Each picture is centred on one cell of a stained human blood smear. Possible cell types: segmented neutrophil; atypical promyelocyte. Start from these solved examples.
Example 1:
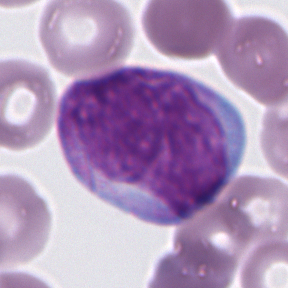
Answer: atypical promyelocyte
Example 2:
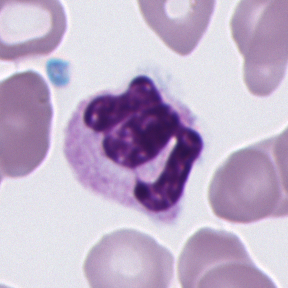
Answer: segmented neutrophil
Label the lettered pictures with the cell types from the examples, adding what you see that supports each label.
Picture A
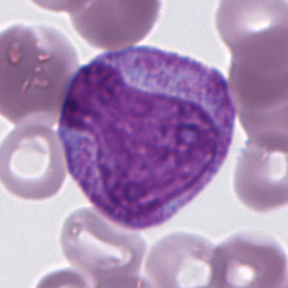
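atypical promyelocyte. The nucleus fills most of the cell and is indented along its upper side.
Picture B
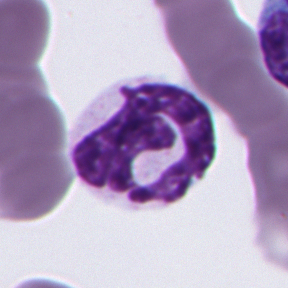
segmented neutrophil. The nucleus is a thick band curved into a near-ring around a pale central area.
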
